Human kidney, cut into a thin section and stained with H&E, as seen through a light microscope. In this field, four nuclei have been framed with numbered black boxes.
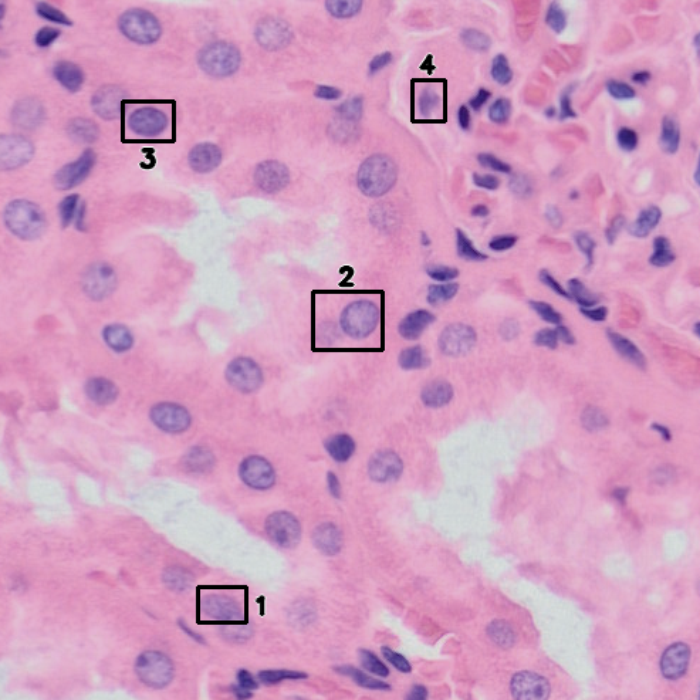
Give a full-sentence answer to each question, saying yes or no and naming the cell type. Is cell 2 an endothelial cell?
No, cell 2 is identified not as an endothelial cell but as a proximal tubule cell.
